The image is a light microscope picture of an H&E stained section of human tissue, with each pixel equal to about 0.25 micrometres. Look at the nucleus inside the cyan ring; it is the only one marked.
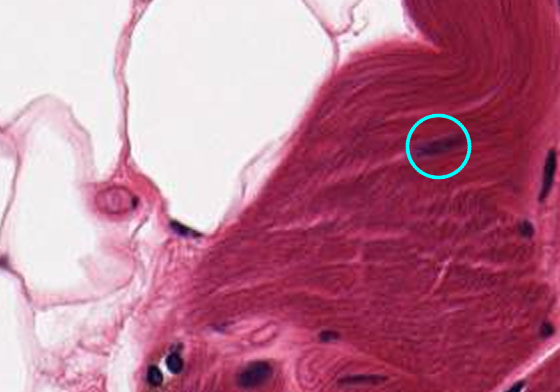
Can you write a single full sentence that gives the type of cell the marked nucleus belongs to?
It is a skeletal muscle fibre whose nucleus is marked.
